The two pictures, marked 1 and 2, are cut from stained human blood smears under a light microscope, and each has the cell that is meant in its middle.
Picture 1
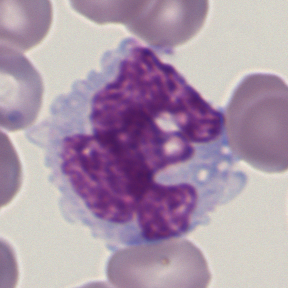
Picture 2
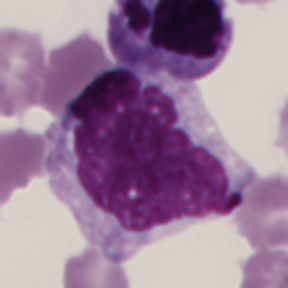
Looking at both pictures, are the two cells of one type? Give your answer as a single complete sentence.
Yes, both cells are monocytes.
